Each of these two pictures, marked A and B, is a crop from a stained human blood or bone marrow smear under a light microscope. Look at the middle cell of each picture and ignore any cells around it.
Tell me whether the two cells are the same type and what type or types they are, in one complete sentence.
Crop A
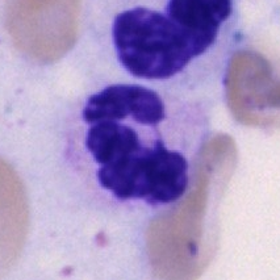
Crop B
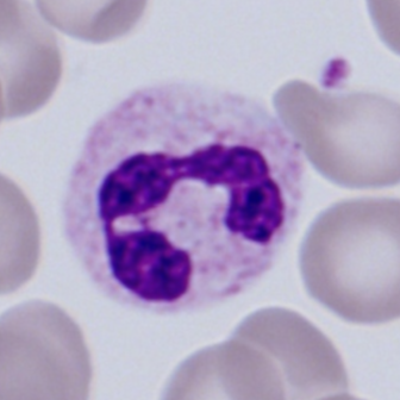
Yes, as shown in both crops, the central cells are neutrophils.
